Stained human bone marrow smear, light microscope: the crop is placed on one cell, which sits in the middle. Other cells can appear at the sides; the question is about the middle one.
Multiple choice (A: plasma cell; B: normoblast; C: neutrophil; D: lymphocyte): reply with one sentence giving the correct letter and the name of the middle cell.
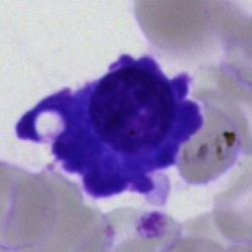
With the cell in the middle being a plasma cell, option A is the correct choice.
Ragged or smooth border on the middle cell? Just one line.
Around its circumference, the cell has an uneven edge, ragged or projecting in places.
